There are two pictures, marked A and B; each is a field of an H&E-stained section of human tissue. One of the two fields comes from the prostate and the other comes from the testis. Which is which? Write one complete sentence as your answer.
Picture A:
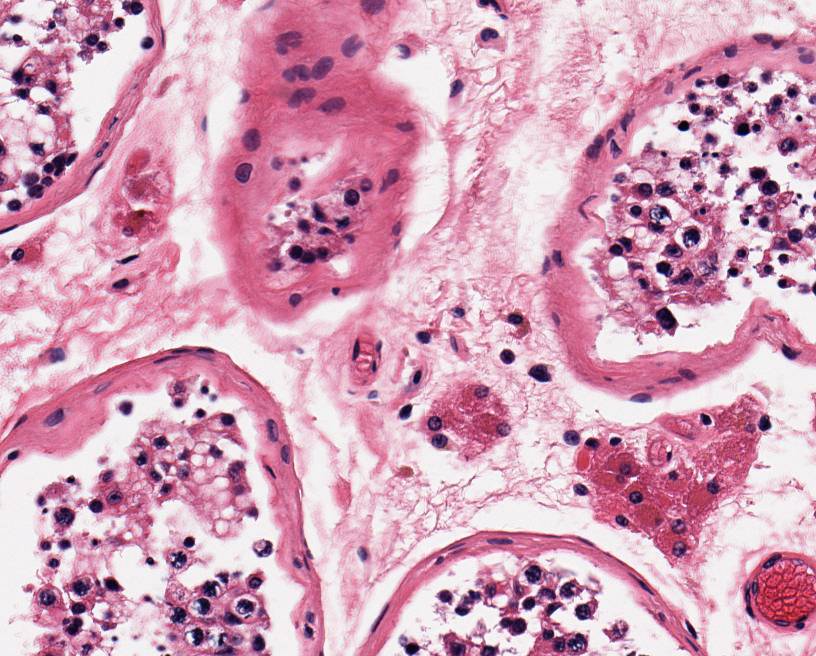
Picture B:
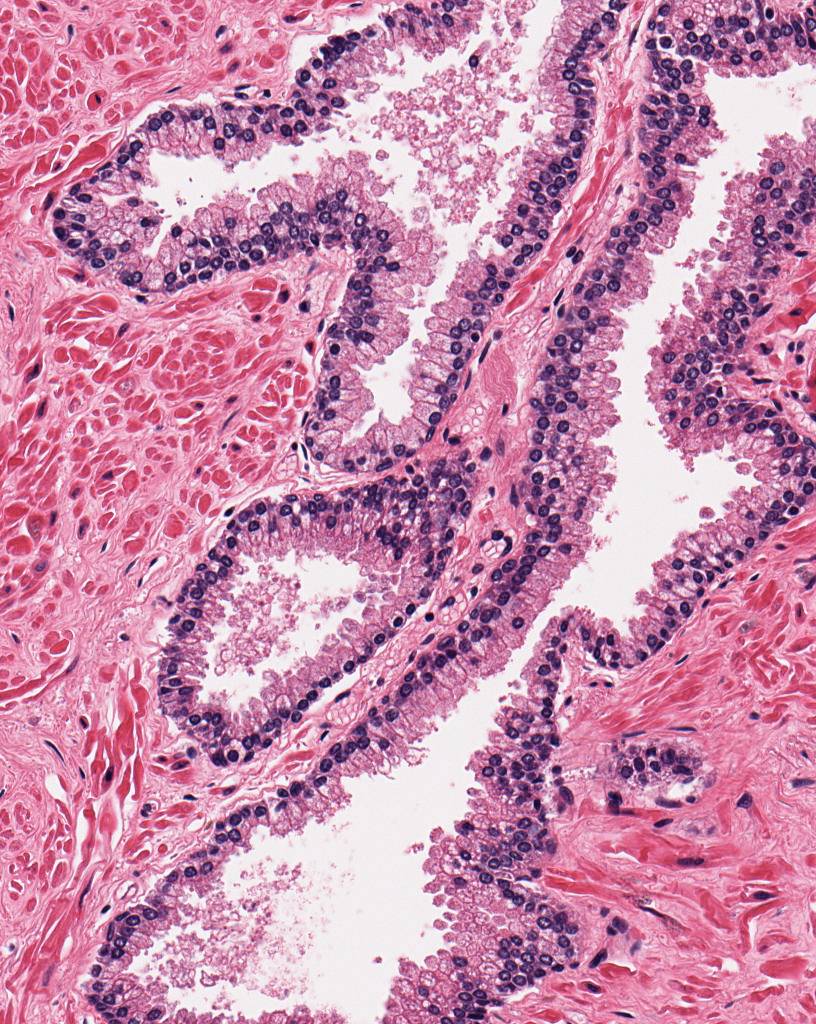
Picture A comes from the testis and picture B comes from the prostate.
